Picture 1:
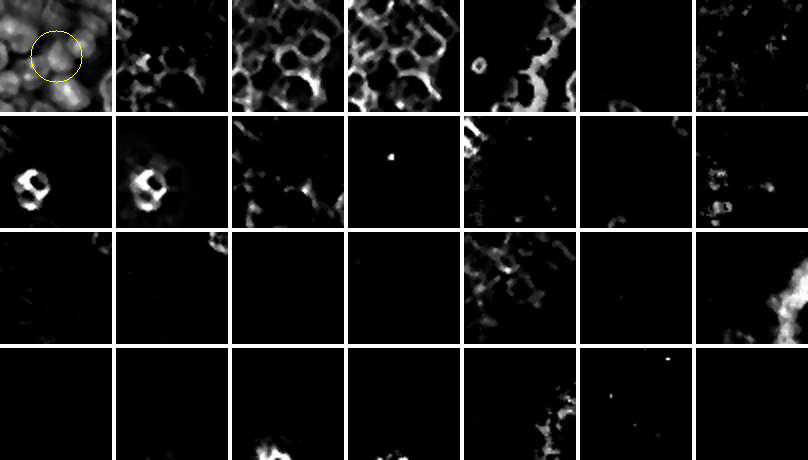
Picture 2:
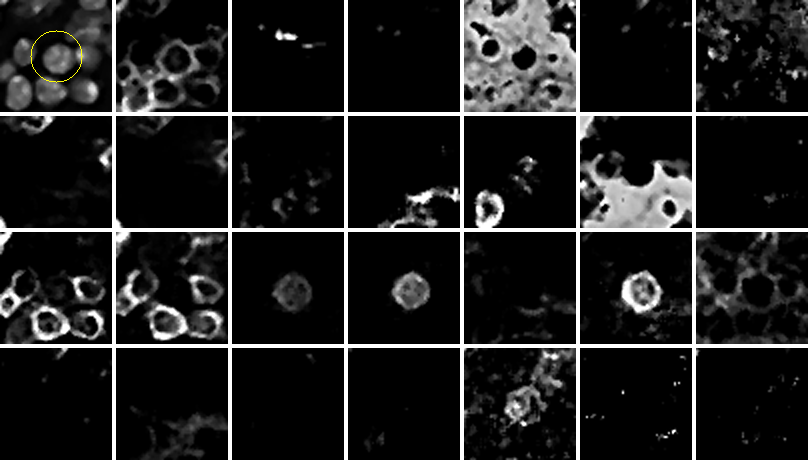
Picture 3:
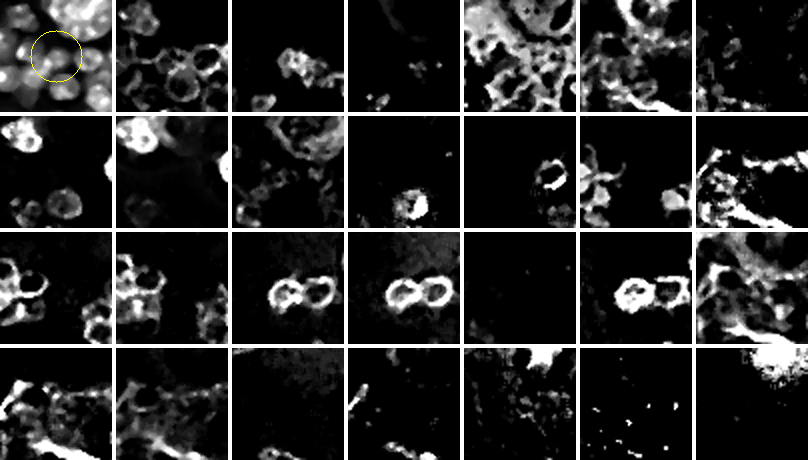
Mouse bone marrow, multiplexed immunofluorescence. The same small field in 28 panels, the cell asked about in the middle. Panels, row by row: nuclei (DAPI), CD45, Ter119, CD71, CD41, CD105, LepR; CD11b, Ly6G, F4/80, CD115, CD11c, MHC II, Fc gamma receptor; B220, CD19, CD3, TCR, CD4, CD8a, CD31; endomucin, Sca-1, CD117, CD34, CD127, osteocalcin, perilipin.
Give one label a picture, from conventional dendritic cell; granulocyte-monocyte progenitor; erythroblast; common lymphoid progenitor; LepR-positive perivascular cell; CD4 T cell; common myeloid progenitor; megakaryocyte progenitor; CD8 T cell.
(1) erythroblast
(2) common lymphoid progenitor
(3) CD8 T cell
